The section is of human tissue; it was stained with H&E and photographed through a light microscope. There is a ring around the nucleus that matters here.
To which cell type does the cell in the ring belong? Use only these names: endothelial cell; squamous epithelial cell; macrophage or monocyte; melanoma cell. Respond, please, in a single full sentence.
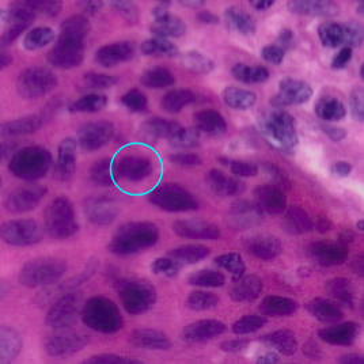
As far as its identity is concerned, the cell in the ring is a squamous epithelial cell.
